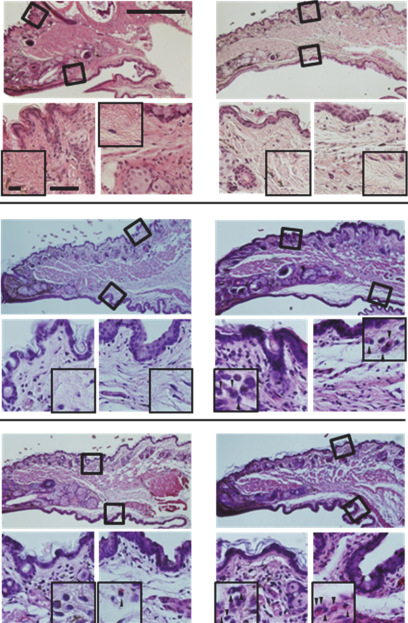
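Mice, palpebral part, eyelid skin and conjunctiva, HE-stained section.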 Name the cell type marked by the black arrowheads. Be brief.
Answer: eosinophils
